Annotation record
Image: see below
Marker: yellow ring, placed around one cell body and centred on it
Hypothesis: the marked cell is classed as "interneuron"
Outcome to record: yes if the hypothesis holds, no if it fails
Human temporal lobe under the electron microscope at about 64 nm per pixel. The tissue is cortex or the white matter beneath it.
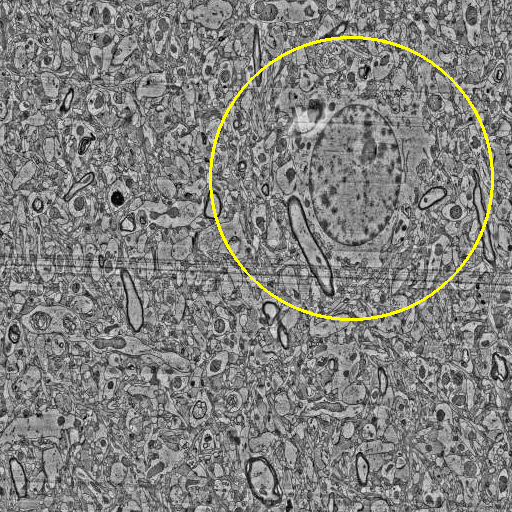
no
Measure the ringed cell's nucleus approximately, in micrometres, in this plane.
Roughly 9 micrometres by 6 micrometres, so the nucleus is clearly longer than it is wide in this plane.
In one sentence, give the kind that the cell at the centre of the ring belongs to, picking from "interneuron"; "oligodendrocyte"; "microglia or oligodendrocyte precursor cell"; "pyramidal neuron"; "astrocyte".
At the centre of the ring sits an astrocyte.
